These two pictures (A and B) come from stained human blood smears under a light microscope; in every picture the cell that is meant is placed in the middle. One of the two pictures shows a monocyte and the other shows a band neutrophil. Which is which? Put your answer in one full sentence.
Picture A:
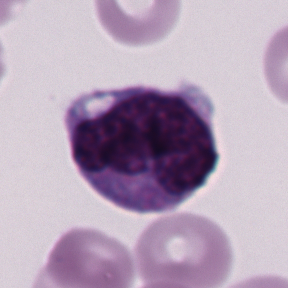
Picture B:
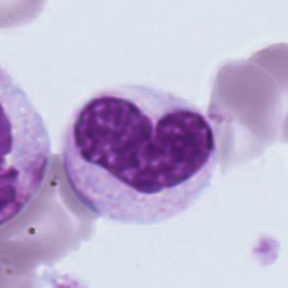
Picture B shows a band neutrophil, while picture A shows a monocyte.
